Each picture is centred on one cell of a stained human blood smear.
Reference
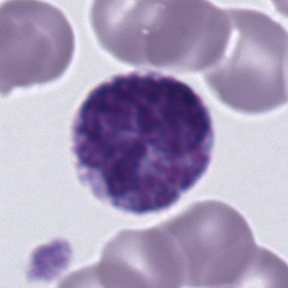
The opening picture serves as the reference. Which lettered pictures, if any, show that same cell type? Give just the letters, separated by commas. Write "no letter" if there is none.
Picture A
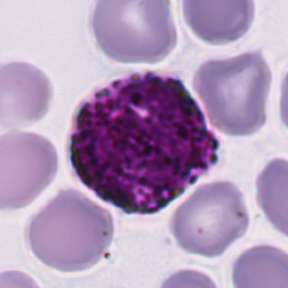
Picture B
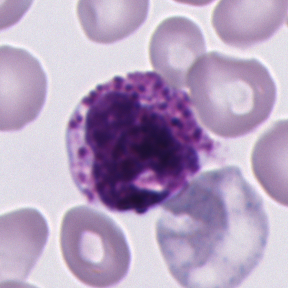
A, B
